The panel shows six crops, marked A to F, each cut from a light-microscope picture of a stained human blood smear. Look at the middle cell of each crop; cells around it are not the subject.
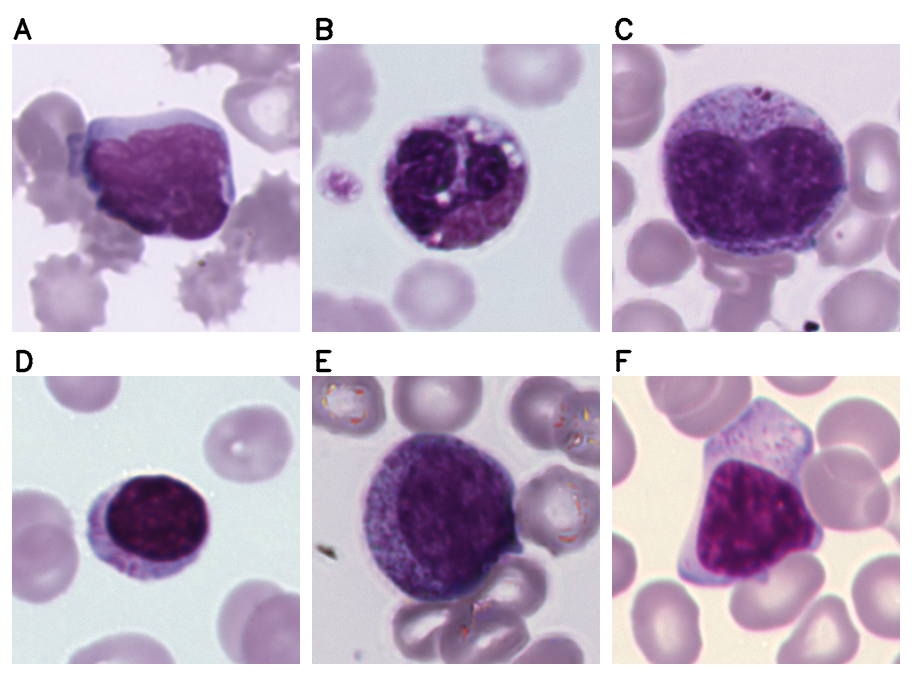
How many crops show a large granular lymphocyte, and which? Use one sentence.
Here, two crops, D and F, show large granular lymphocytes.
